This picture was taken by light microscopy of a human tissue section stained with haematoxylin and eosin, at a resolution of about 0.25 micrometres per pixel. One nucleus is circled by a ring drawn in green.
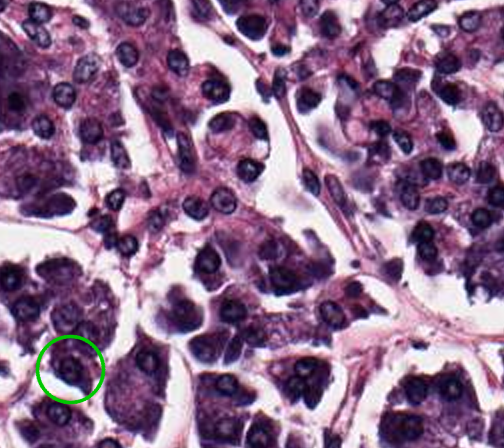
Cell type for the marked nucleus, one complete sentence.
Here the marked nucleus is part of a pancreatic acinar cell.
